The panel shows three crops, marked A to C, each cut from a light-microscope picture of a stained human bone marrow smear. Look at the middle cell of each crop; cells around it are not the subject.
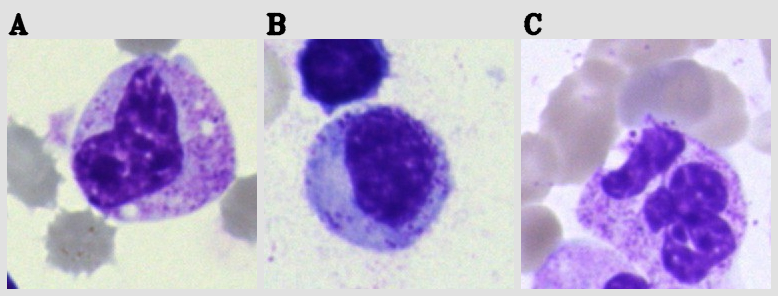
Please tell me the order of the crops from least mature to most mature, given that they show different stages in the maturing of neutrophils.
B, A, C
